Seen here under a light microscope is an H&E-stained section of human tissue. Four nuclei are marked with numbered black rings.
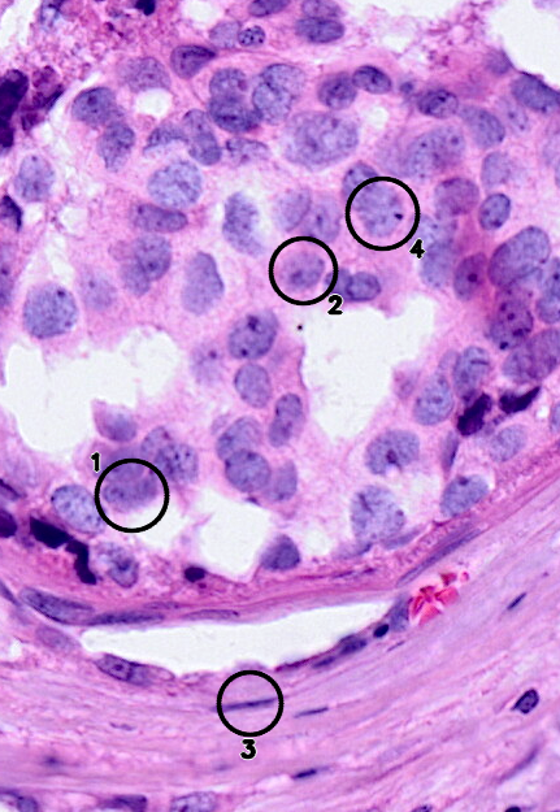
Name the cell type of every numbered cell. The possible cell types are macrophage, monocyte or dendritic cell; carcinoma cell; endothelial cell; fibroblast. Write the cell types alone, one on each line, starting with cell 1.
carcinoma cell
carcinoma cell
fibroblast
carcinoma cell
